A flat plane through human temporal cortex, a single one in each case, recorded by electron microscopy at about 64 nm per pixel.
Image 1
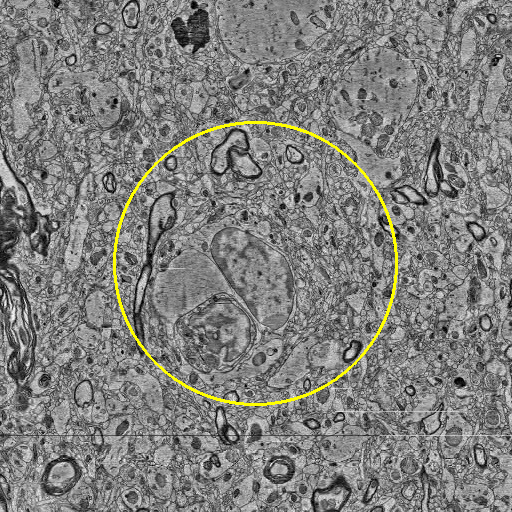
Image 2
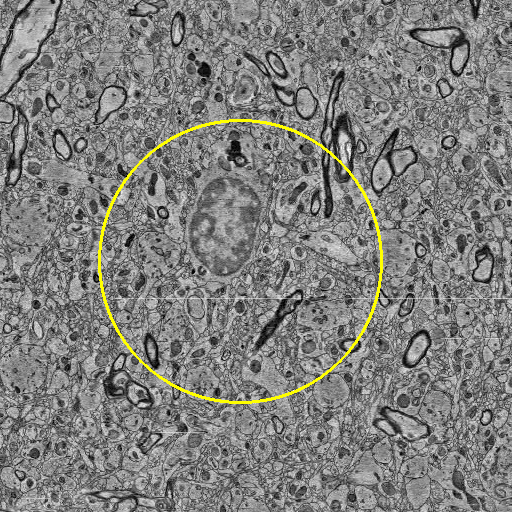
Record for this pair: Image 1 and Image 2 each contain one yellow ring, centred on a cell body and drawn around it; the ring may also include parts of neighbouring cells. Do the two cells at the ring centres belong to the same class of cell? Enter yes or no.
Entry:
no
